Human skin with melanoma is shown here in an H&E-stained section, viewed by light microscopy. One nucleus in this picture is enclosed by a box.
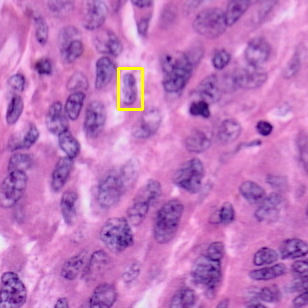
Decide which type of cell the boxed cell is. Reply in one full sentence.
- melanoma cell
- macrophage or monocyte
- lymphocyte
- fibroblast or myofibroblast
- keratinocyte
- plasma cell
Within the stained tissue, the boxed cell is a macrophage or monocyte.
